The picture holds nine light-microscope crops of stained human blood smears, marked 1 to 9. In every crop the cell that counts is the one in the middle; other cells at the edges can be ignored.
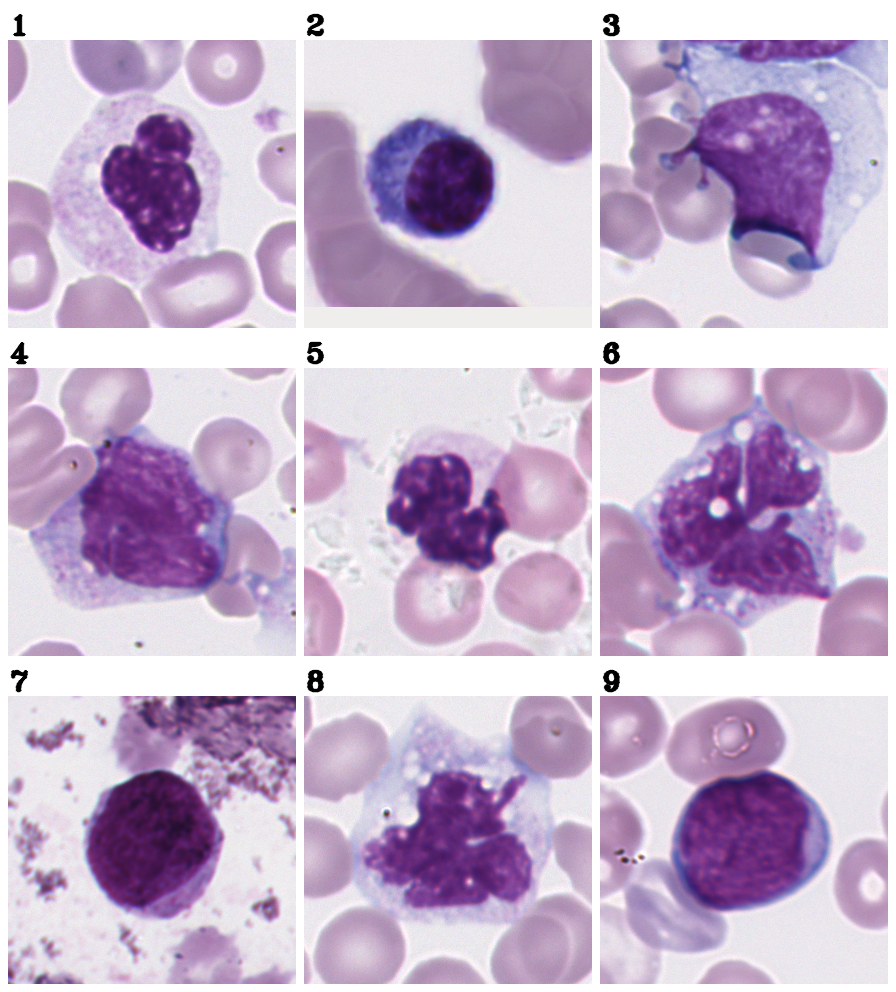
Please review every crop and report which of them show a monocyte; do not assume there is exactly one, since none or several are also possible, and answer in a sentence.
On review, crops 4, 6 and 8 show monocytes.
